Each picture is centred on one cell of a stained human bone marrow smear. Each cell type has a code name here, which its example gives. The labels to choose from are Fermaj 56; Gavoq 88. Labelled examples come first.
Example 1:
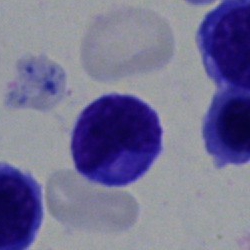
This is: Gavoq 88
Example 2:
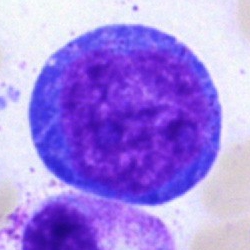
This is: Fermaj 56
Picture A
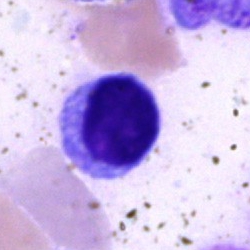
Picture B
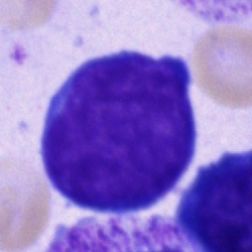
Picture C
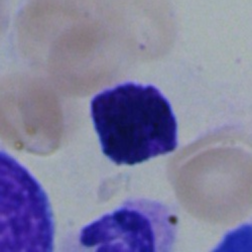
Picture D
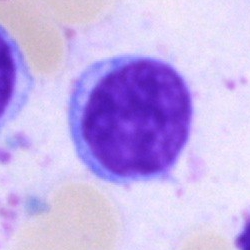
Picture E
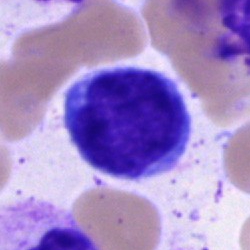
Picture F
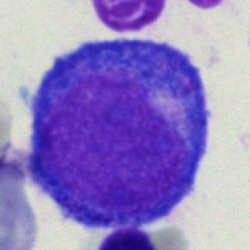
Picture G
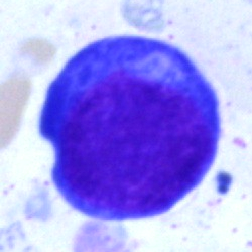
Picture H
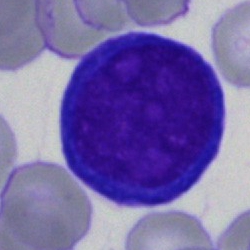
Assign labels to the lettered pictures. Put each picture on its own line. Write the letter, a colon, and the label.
A: Gavoq 88
B: Fermaj 56
C: Gavoq 88
D: Gavoq 88
E: Gavoq 88
F: Fermaj 56
G: Fermaj 56
H: Fermaj 56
